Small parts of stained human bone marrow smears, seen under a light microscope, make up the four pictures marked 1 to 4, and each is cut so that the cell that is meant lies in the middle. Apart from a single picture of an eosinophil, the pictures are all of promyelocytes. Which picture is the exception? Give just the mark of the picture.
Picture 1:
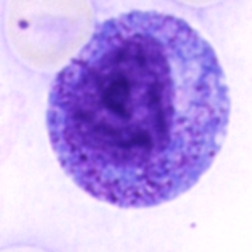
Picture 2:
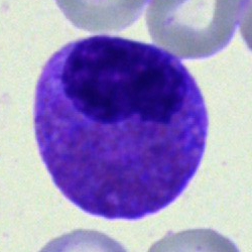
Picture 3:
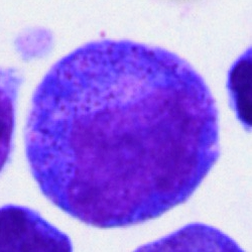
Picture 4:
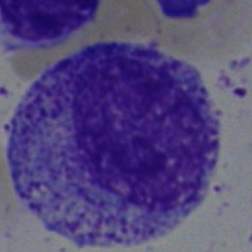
2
